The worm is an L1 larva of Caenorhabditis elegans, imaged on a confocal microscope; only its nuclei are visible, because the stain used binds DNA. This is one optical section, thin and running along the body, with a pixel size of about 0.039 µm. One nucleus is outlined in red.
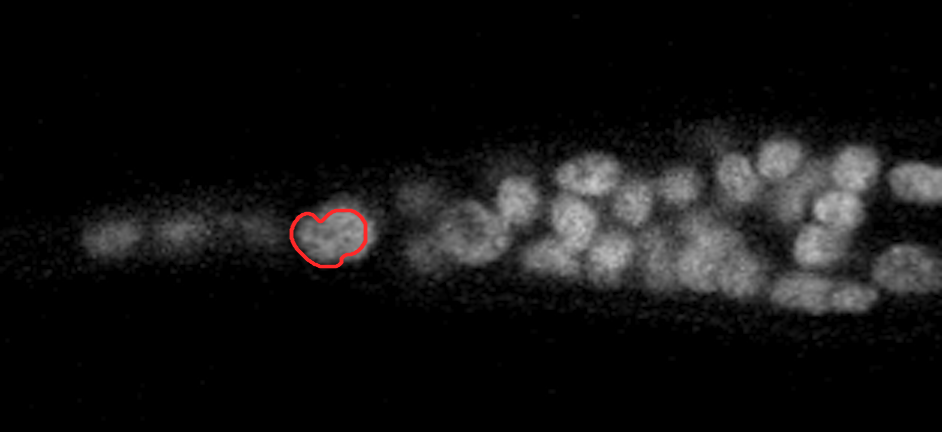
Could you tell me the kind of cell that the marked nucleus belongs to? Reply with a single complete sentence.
It is the nucleus of a hypodermal cell (hyp).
